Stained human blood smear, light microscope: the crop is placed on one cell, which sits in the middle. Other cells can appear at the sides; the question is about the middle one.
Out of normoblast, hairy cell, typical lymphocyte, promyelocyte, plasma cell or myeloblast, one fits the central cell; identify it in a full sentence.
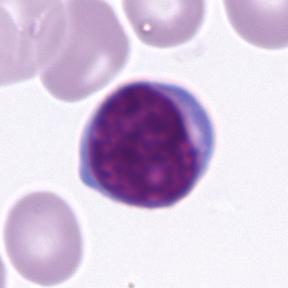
The cell at the heart of this crop is a typical lymphocyte.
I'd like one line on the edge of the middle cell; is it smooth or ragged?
A smooth, projection-free outline is what this cell has.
